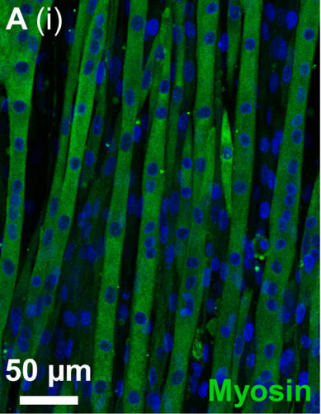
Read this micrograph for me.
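Cultured skeletal muscle cells grown as long multinucleated myotubes: many slender tubes of green-filled cytoplasm run side by side, mostly in one direction, from top to bottom of the field. Each tube is narrow but very long, reaching beyond the frame. Oval blue nuclei sit inside the tubes, several in a line along the length of a single tube, showing that many nuclei share one cytoplasm. Between the tubes lie darker gaps with scattered nuclei of cells that are not part of a tube. This is the look of myoblasts that have fused into multinucleated myotubes.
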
